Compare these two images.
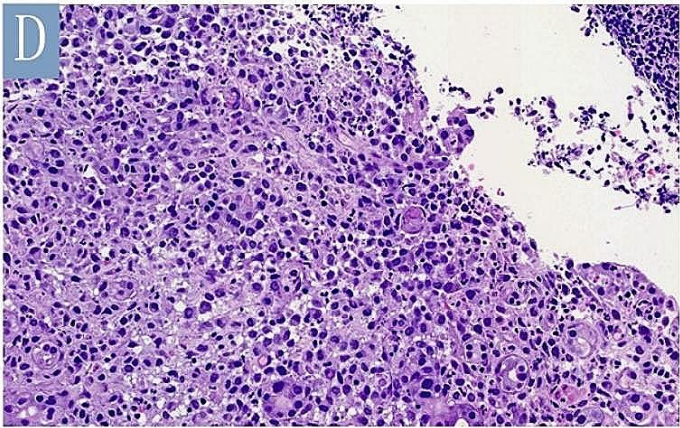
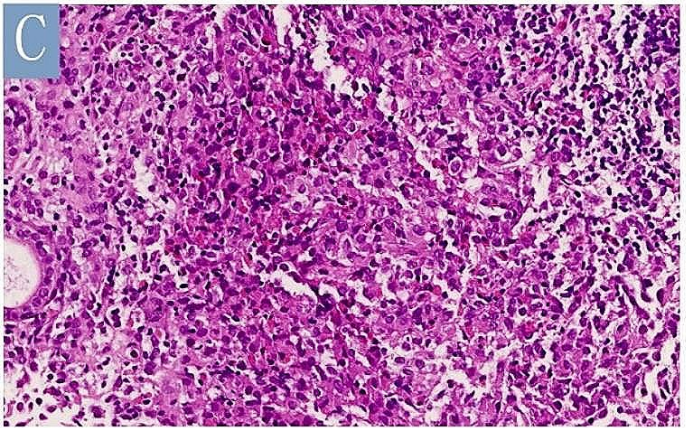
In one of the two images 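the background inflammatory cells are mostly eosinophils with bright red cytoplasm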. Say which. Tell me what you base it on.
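The second image. First image: background cells are mainly small round dark nuclei with little cytoplasm; few red cells. Second image: many cells with bright red cytoplasm fill the background.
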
